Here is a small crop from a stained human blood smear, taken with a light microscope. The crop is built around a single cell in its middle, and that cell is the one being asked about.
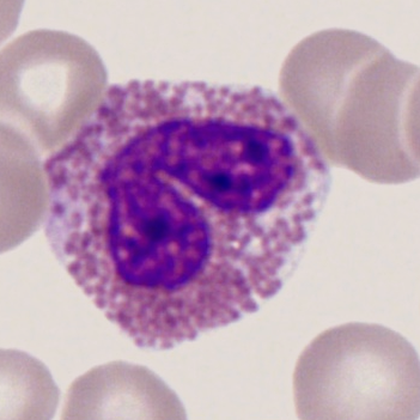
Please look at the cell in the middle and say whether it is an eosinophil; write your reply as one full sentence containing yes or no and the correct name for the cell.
Yes, the cell at the heart of the crop is an eosinophil.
